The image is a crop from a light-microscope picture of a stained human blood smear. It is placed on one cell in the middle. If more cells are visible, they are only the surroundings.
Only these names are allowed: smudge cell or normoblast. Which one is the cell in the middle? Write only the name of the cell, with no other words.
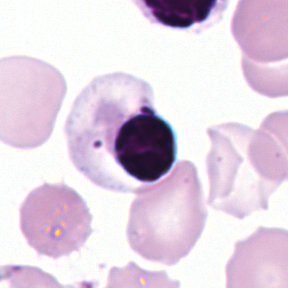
normoblast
